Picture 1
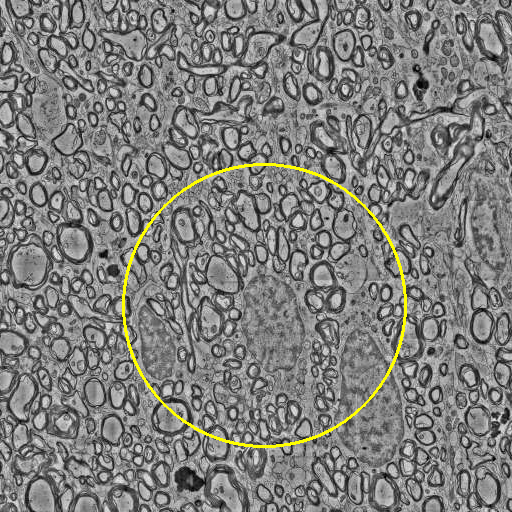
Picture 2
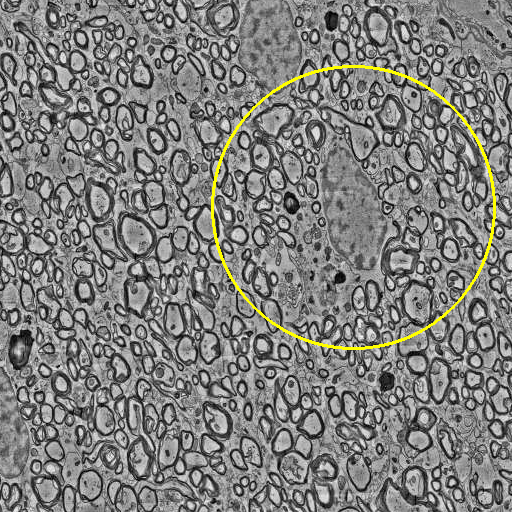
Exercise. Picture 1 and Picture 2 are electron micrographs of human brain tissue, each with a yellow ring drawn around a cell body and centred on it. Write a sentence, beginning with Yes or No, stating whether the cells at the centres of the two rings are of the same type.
Yes, the cells at the centres of both rings are of the same type.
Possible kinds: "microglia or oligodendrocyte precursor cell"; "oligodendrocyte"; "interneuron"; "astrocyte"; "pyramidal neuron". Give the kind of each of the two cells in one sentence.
Each of the two cells is an oligodendrocyte.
